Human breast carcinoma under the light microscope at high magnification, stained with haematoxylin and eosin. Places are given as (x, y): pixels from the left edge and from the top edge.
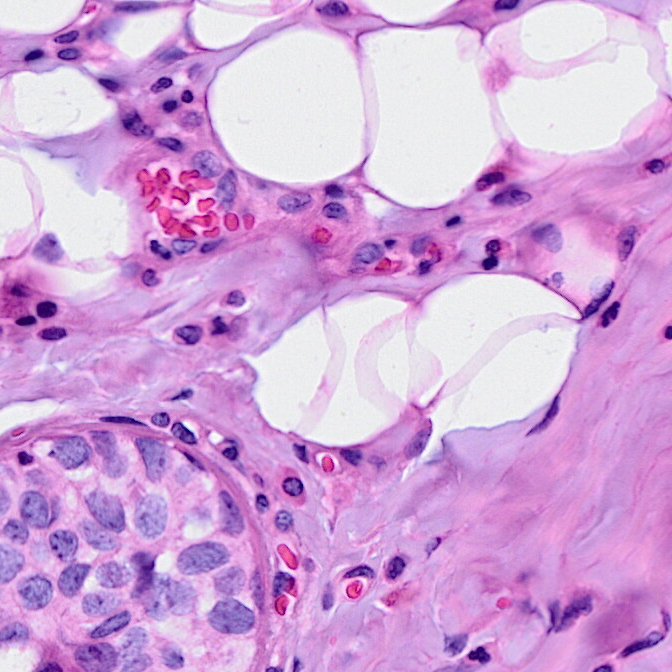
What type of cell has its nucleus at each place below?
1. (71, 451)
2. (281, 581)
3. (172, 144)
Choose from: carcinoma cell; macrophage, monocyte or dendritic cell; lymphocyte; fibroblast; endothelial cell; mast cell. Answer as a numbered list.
1. carcinoma cell
2. endothelial cell
3. endothelial cell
